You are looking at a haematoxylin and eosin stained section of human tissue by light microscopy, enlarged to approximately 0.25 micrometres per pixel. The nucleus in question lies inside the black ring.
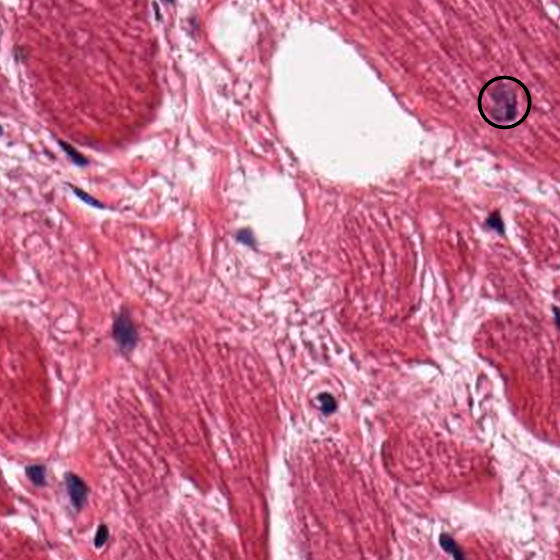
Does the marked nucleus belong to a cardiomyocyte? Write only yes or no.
yes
